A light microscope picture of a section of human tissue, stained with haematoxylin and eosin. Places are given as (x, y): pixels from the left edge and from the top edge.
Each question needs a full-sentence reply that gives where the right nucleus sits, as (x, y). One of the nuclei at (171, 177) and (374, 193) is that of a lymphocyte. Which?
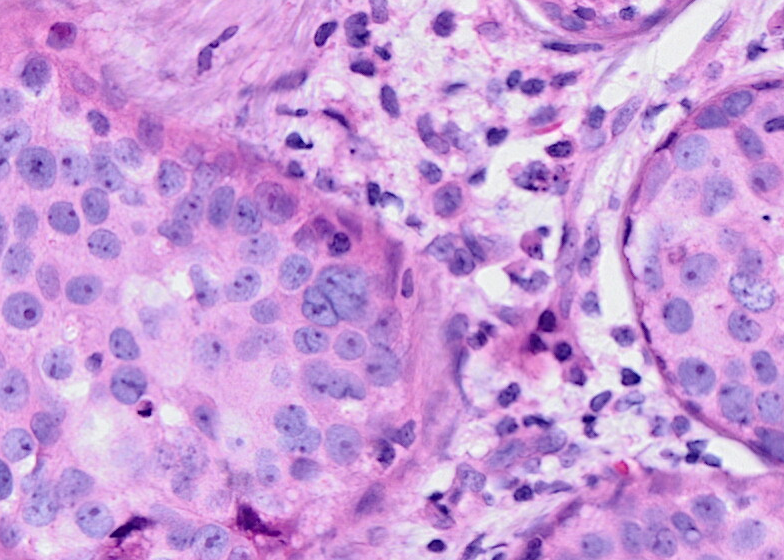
The one belonging to a lymphocyte is the nucleus at (374, 193), not the other.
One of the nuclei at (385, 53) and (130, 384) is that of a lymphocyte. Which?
As for which of the two, the nucleus at (385, 53) belongs to a lymphocyte.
